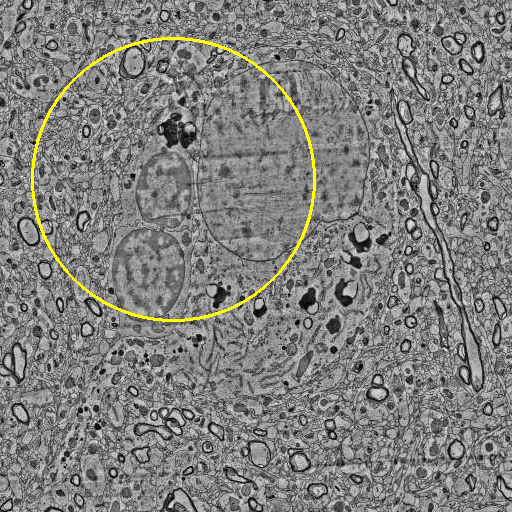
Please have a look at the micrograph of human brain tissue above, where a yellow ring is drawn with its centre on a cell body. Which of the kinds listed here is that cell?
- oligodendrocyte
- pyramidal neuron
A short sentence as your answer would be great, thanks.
At the centre of the ring sits an oligodendrocyte.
